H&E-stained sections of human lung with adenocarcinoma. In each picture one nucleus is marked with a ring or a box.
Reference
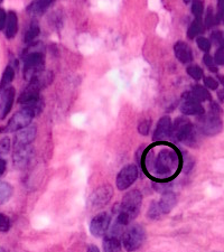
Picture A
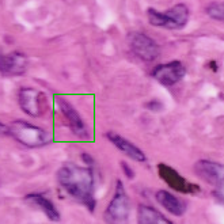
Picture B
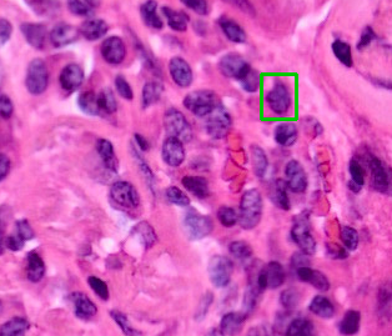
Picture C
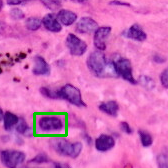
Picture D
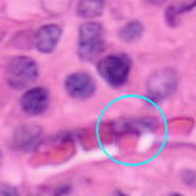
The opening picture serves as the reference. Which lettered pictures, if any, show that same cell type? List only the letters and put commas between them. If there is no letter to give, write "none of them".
none of them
